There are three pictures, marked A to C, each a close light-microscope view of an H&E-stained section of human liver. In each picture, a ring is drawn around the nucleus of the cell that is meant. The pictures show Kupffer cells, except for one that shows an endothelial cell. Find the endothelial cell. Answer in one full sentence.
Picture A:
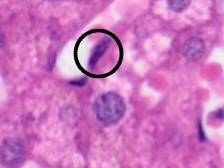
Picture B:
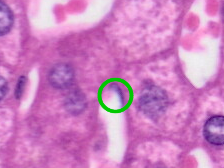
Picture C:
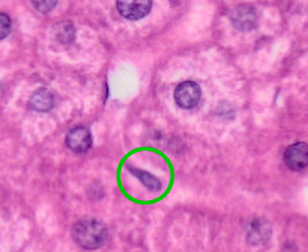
Picture B shows the endothelial cell.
